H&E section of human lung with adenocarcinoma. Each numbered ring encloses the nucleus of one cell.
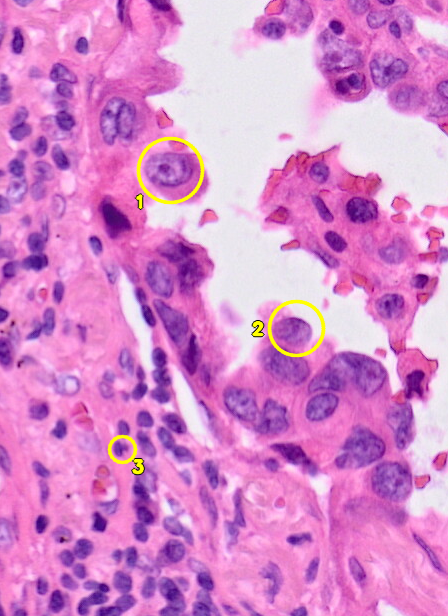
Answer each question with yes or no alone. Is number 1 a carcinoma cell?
yes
